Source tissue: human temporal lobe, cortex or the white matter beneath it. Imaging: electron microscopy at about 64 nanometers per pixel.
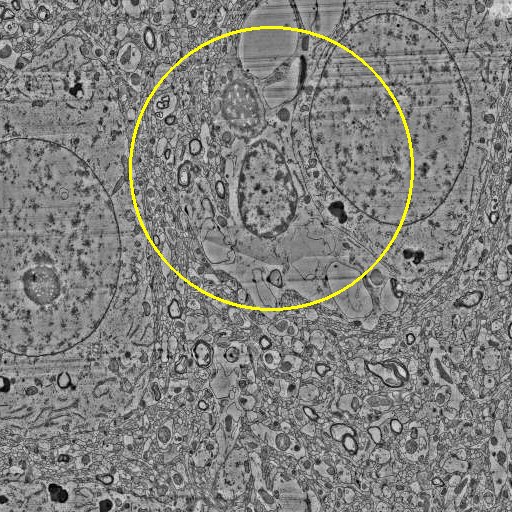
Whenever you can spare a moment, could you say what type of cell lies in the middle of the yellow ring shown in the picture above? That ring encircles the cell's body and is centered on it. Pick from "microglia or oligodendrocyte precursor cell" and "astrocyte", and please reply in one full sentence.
The cell whose body sits at the middle of the yellow ring is an astrocyte.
